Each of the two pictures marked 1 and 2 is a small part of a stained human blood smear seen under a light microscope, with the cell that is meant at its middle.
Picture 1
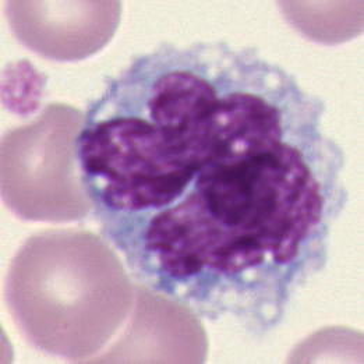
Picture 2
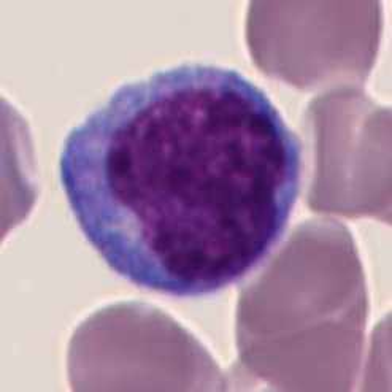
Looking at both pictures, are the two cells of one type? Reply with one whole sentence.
Yes, both cells are monocytes.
